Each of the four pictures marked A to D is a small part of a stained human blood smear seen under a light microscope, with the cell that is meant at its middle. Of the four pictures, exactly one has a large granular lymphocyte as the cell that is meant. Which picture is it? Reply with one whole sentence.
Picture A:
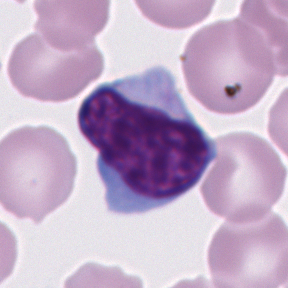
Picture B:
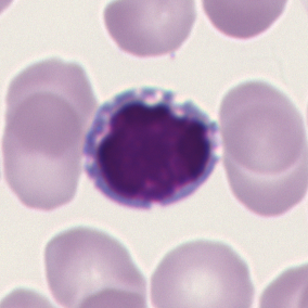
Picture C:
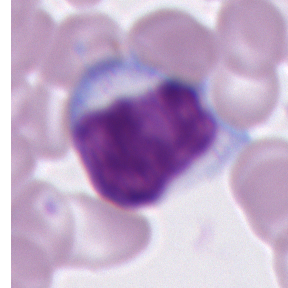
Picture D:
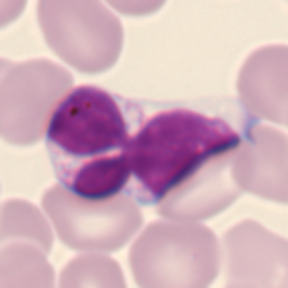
The cell in picture D is the large granular lymphocyte.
